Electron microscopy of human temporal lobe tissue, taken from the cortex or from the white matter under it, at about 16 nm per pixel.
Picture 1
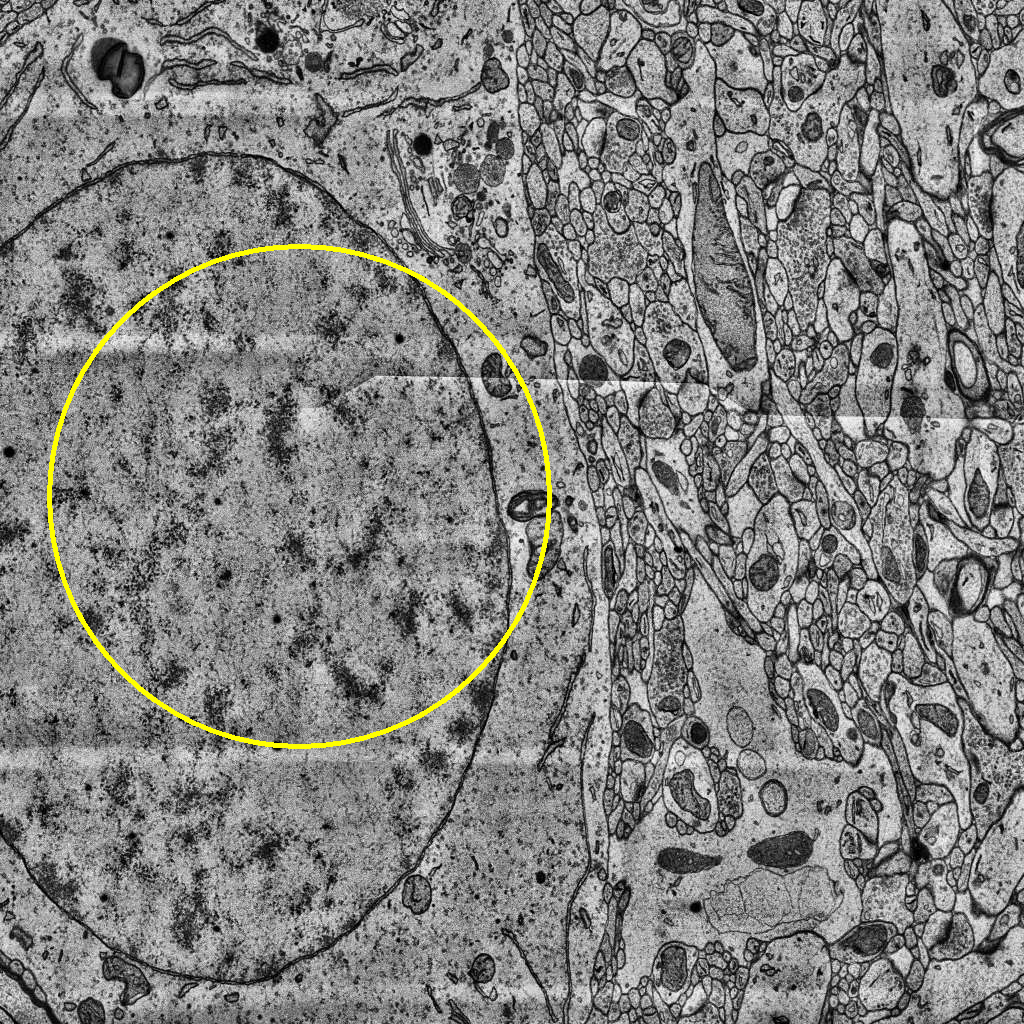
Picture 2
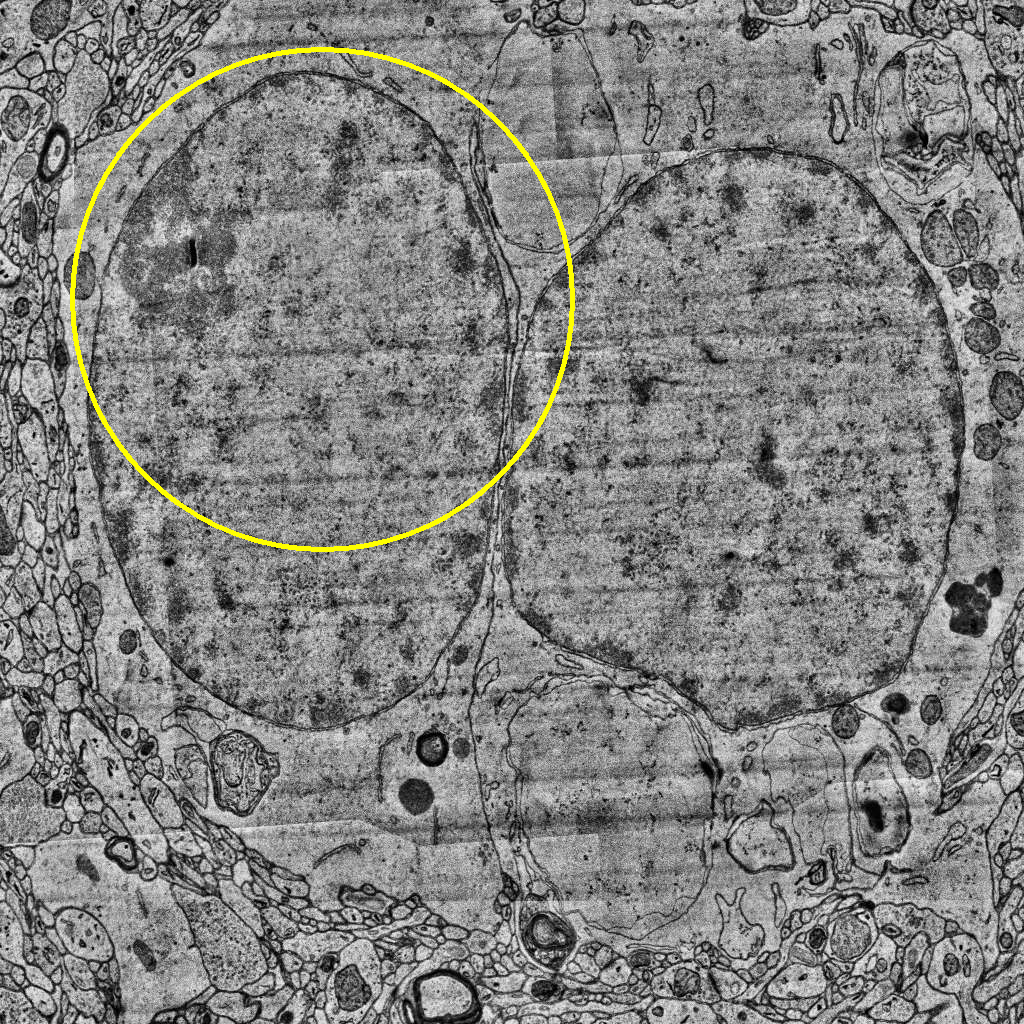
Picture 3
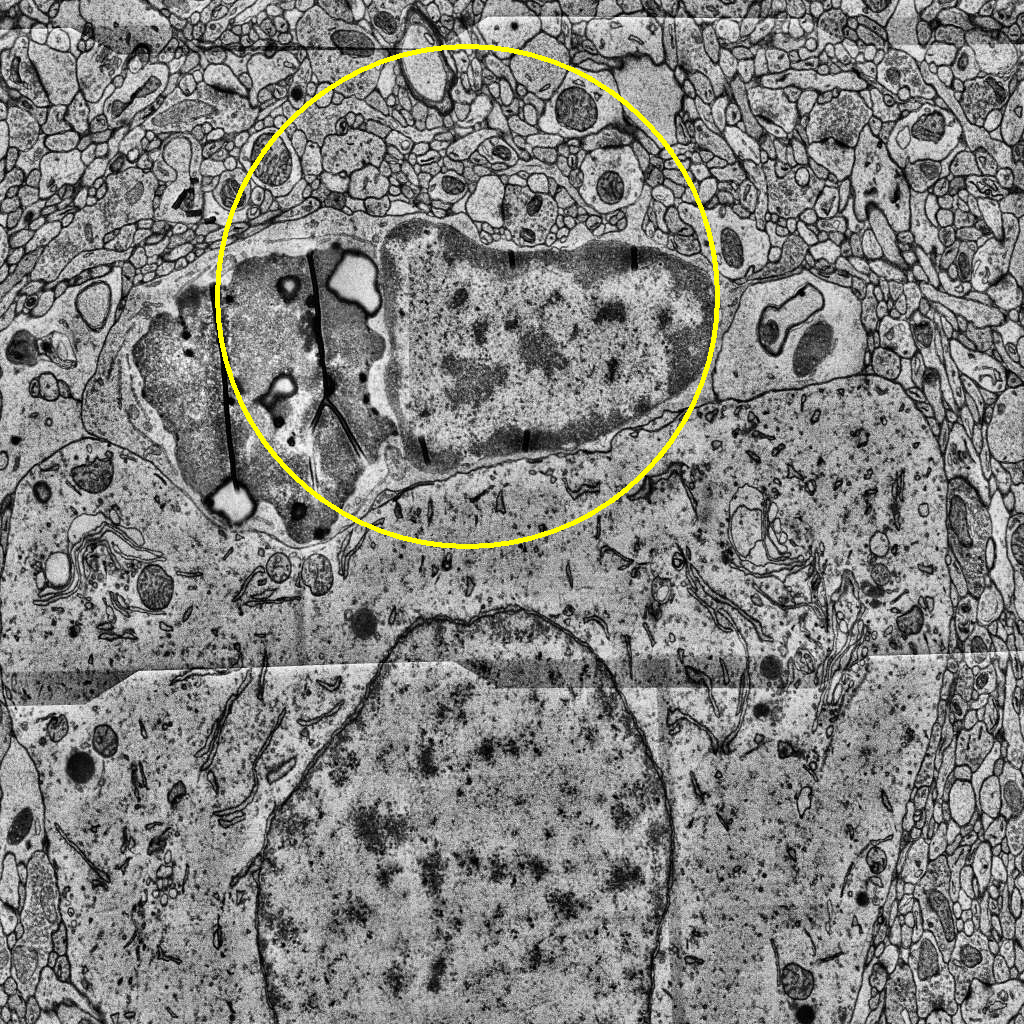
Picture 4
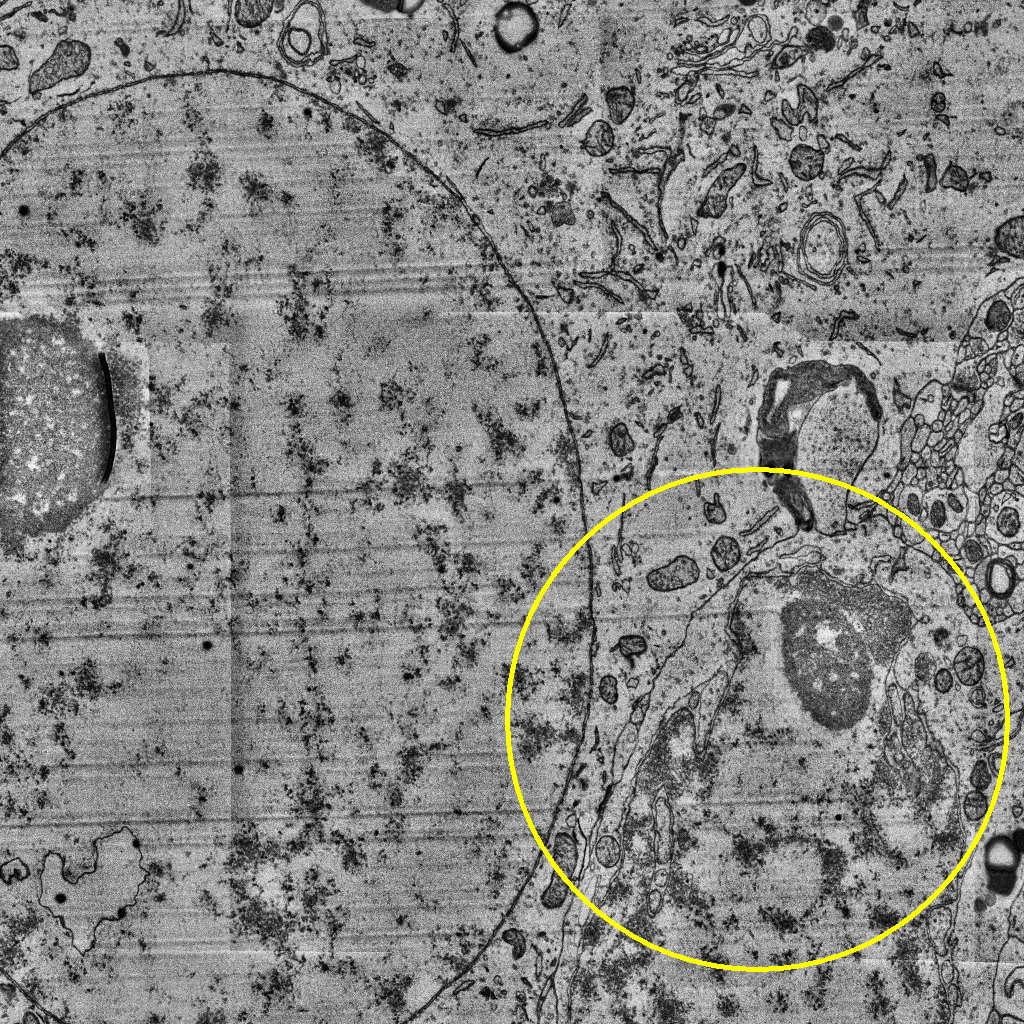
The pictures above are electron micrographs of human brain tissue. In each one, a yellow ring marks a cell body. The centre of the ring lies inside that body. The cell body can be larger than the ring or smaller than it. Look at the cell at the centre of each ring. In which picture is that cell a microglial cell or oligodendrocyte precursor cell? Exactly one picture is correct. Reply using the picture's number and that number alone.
3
